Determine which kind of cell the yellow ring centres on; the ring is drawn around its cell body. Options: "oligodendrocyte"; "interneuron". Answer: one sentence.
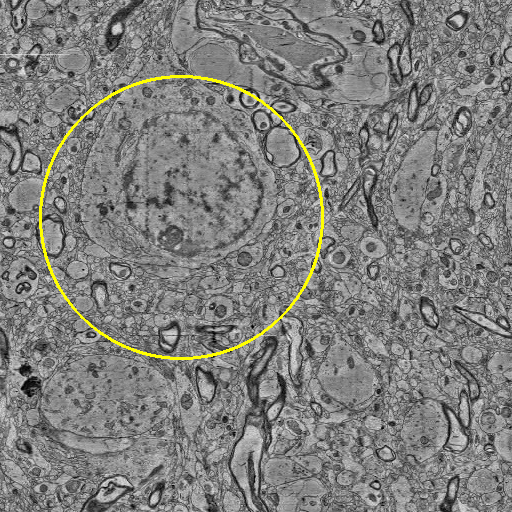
The ring centres on an interneuron.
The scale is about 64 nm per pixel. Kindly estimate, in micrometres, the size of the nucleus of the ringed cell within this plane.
In this plane, approximately 9 micrometres across.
